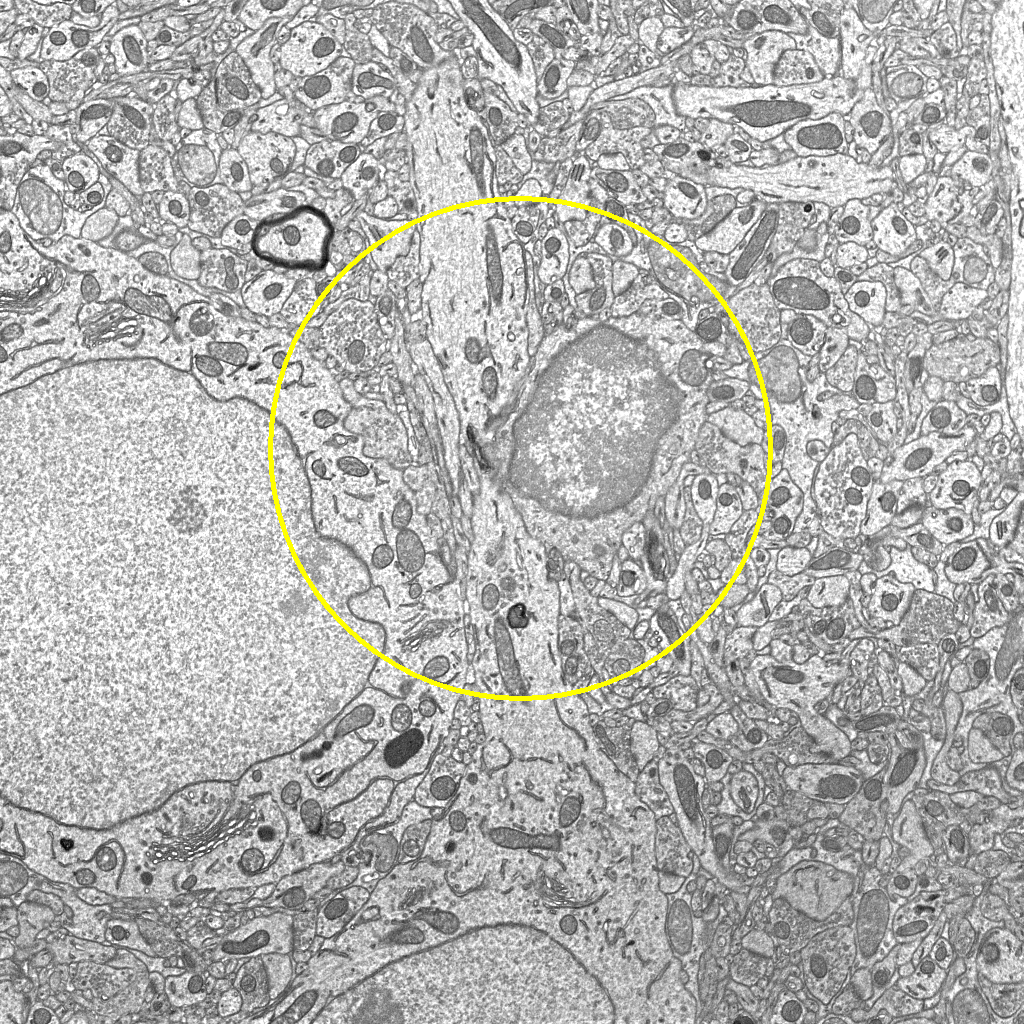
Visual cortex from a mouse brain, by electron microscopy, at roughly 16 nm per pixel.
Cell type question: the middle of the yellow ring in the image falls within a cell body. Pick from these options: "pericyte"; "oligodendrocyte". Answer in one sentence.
The cell body at the center of the ring belongs to an oligodendrocyte.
